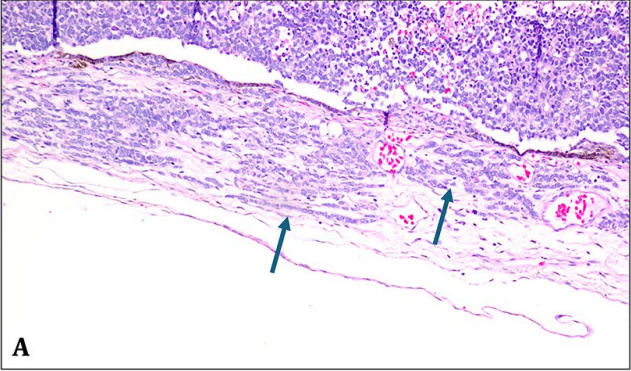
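A dense sheet of small tumor cells with round, dark blue nuclei and scant cytoplasm fills the upper part of the field. Below it lies the choroid, a band with brown pigment along its inner edge and vessels packed with red blood cells, within which clusters of similar small dark blue cells lie among the stroma. Beneath this is loose, pale pink fibrous tissue.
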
